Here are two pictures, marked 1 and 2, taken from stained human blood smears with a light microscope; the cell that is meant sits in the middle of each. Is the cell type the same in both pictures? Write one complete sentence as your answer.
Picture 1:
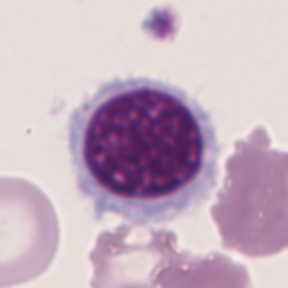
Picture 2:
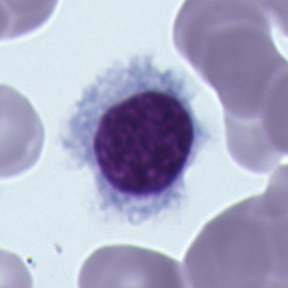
Yes, the two pictures both show hairy cells.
